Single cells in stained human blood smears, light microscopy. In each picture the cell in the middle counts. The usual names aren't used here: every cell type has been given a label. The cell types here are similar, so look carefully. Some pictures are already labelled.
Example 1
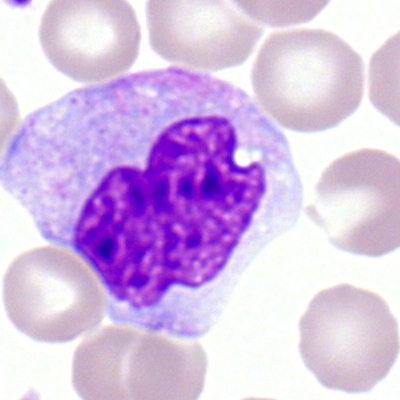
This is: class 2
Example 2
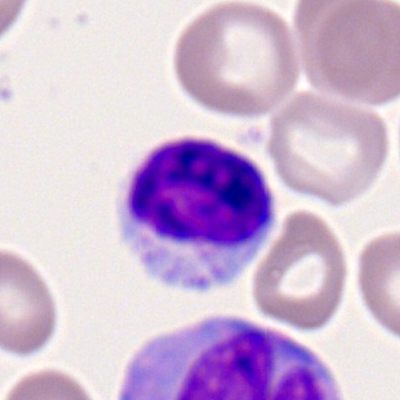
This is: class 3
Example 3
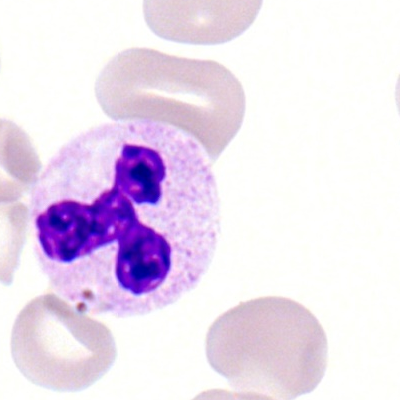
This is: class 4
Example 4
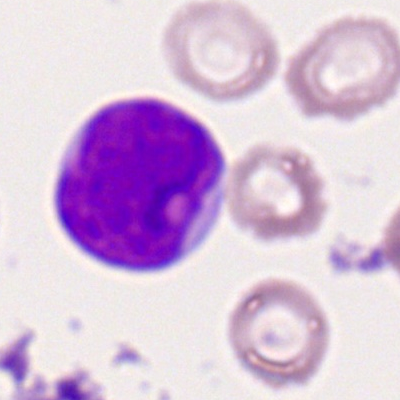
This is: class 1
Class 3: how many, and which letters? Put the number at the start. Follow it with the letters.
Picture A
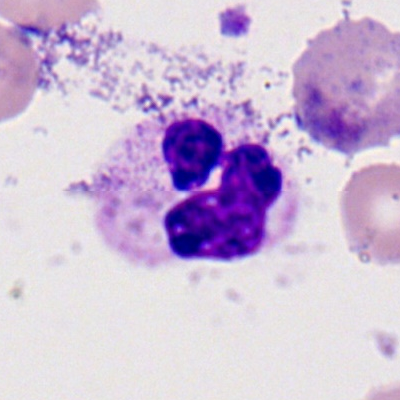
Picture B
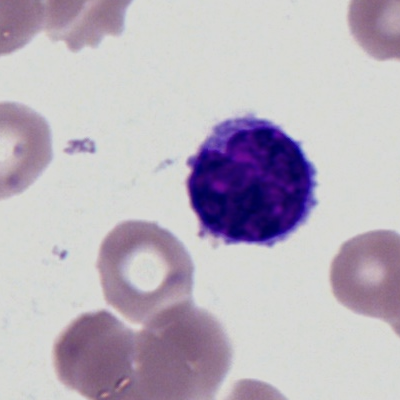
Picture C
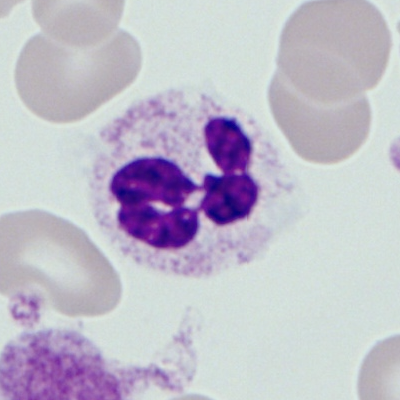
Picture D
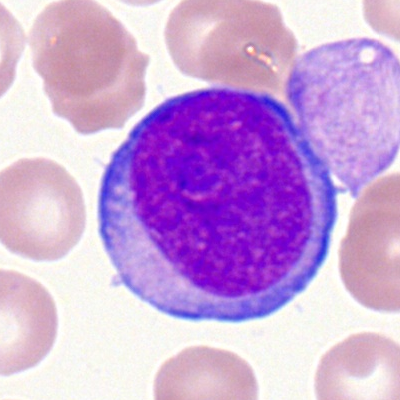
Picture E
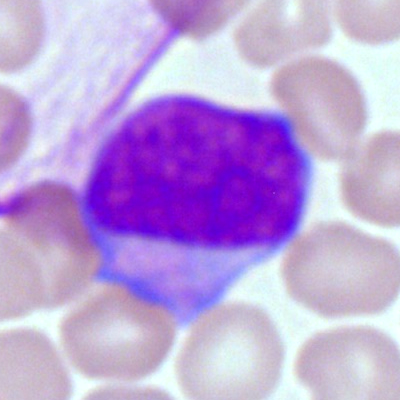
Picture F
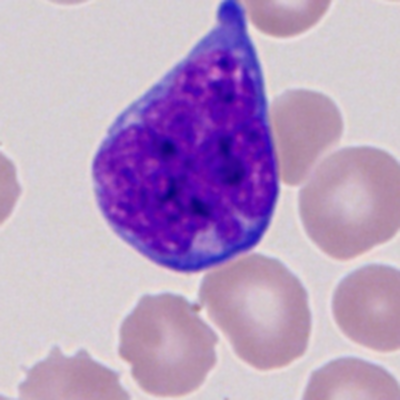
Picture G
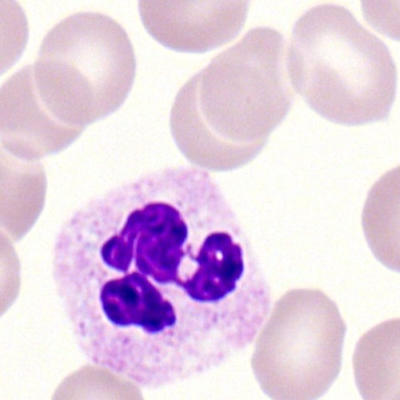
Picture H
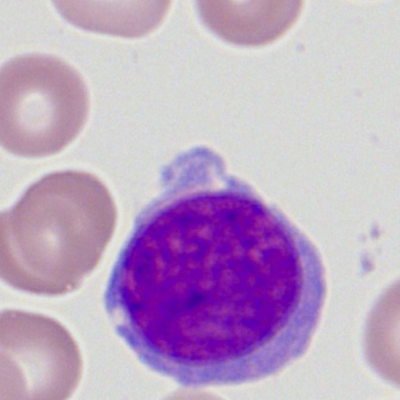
1: B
